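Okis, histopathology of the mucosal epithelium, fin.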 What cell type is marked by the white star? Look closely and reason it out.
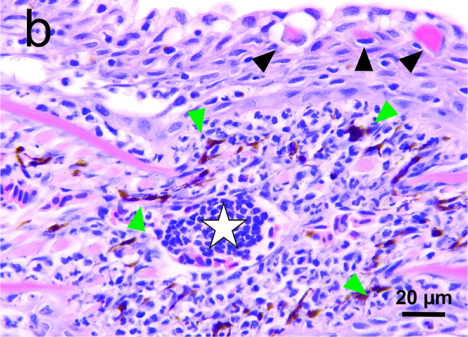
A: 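The star lies on a dense cluster of small cells. The clustered cells have small, round, darkly stained nuclei with scant cytoplasm.
Conclusion: lymphocytes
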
